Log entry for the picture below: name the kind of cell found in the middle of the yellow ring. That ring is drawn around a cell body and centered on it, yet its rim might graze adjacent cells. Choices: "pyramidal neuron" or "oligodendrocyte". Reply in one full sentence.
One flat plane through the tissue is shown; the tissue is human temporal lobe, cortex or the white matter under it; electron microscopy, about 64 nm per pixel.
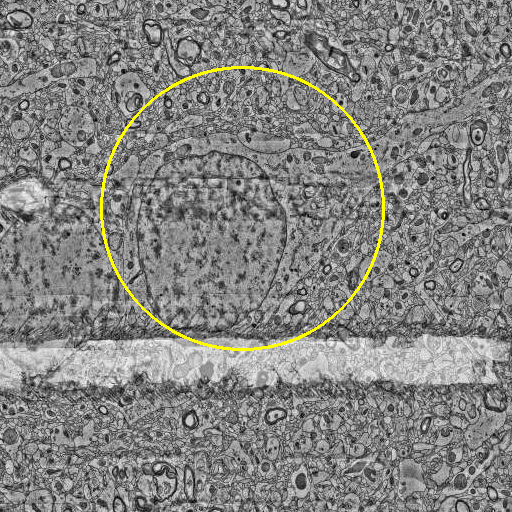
The cell in the middle of the yellow ring in this picture is a pyramidal neuron.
